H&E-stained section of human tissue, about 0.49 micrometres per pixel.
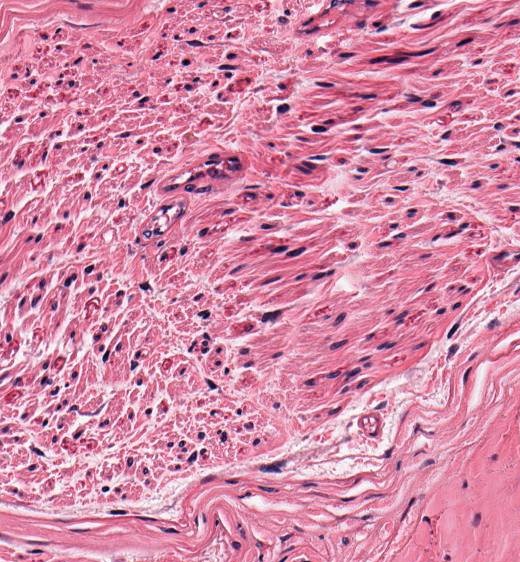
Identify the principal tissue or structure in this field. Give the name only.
nerve fascicle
